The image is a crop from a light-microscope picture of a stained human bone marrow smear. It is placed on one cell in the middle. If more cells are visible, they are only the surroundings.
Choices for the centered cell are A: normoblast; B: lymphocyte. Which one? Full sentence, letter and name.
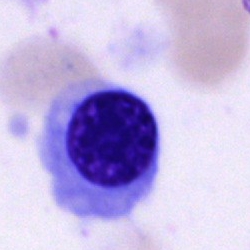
Option A gets it right: the cell in the middle is a normoblast.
